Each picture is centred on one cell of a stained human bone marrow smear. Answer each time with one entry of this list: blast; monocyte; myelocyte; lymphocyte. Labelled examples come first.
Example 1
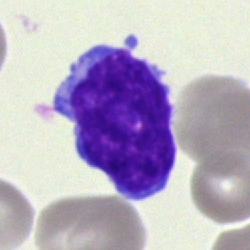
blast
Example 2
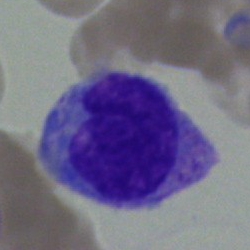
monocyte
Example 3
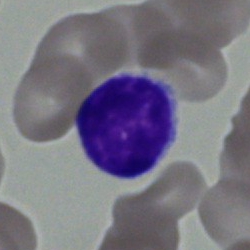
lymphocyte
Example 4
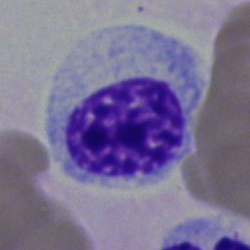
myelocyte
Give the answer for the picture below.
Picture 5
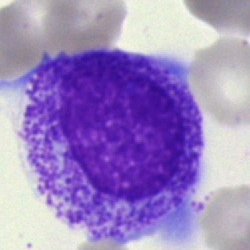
myelocyte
